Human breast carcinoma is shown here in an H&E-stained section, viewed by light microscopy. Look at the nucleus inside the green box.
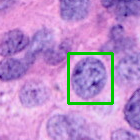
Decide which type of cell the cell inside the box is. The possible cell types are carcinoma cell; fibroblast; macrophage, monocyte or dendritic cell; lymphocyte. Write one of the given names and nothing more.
carcinoma cell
